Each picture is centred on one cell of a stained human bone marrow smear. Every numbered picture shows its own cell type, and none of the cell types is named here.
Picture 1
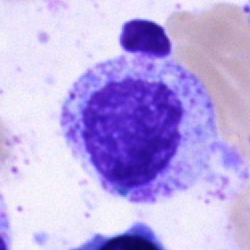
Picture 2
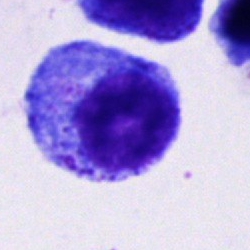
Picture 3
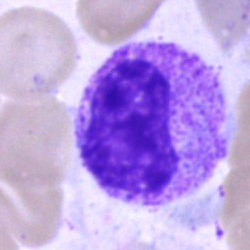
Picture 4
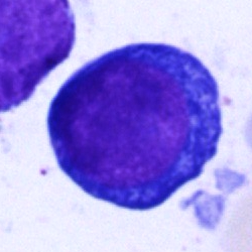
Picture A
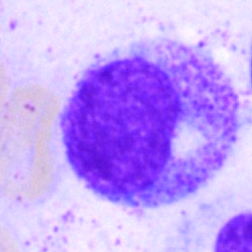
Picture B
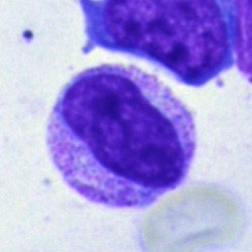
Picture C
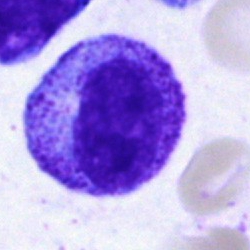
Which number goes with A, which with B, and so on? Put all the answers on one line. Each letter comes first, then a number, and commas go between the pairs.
A 2, B 3, C 1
